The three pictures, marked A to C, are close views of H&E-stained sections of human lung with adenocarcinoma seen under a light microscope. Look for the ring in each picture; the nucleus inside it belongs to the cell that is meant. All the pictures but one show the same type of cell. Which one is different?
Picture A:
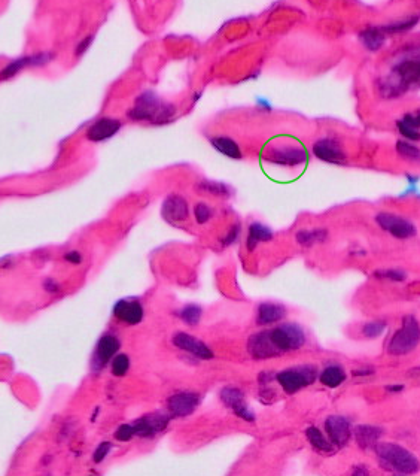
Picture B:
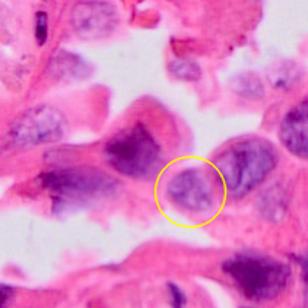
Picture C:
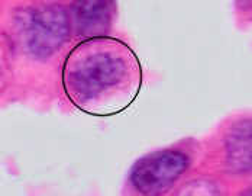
A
